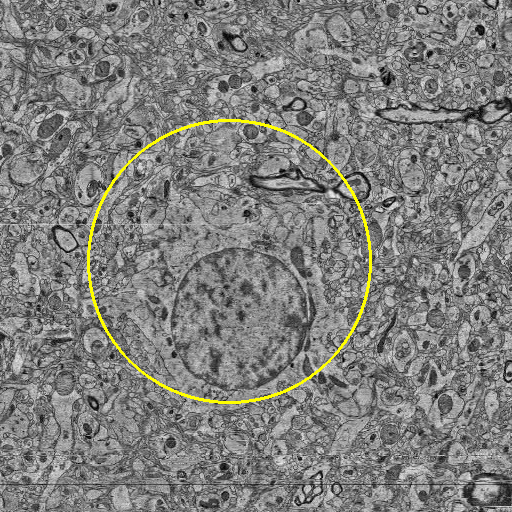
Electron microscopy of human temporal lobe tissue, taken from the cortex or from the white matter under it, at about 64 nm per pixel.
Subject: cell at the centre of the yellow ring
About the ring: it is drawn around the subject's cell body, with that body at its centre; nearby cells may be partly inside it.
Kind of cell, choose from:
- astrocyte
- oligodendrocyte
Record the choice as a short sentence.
The subject cell is an astrocyte.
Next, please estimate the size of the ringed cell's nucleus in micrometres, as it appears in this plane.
In this plane, the nucleus of the cell at the centre of the ring is about 9 micrometres across.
